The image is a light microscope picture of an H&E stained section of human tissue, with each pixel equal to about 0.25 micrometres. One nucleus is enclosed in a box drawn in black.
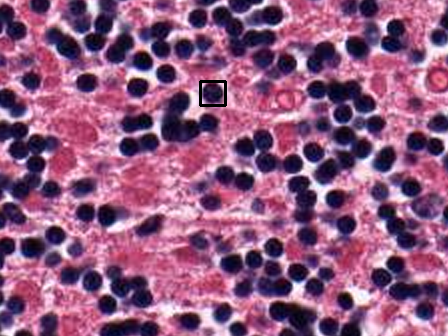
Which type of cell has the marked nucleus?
cerebellar granule cell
